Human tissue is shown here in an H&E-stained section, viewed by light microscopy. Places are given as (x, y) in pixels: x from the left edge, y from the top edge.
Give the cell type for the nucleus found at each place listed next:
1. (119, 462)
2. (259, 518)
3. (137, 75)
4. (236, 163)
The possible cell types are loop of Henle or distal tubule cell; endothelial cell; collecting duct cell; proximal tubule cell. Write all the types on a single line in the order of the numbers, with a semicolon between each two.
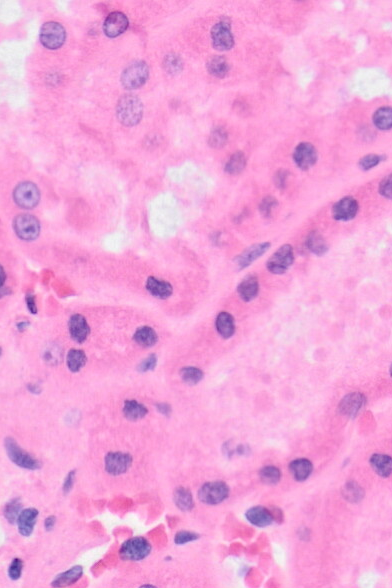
proximal tubule cell; endothelial cell; proximal tubule cell; proximal tubule cell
